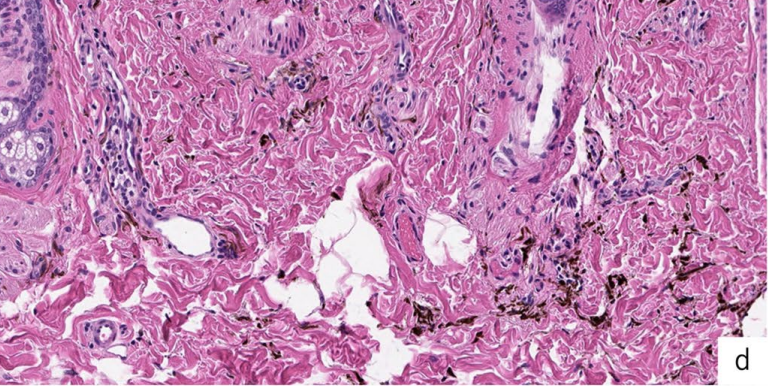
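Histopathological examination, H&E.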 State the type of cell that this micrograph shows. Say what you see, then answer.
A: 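Melanocytes containing melanin granules. Cells filled with dark brown granular pigment are scattered in the dermis. The pigmented cells lie between pink collagen bundles.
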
